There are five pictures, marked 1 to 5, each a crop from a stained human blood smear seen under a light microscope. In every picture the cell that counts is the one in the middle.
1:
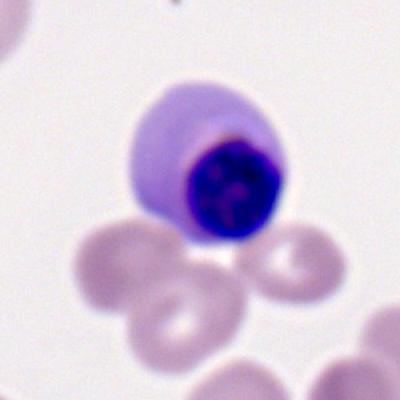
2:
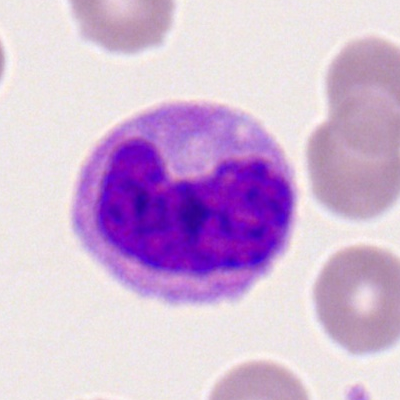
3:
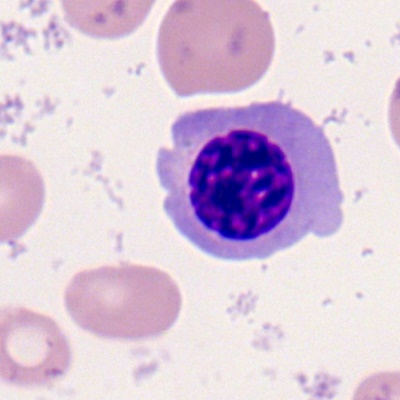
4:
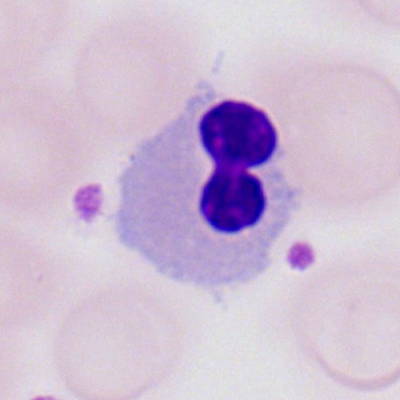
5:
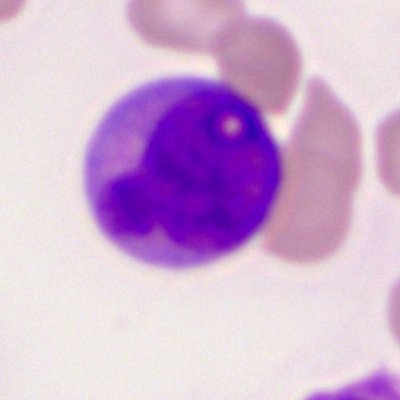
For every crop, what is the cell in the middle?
1: erythroblast
2: monocyte
3: erythroblast
4: erythroblast
5: myeloblast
